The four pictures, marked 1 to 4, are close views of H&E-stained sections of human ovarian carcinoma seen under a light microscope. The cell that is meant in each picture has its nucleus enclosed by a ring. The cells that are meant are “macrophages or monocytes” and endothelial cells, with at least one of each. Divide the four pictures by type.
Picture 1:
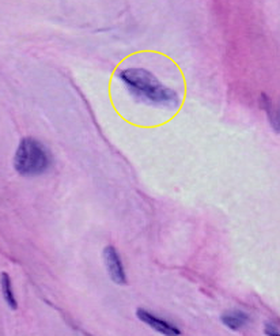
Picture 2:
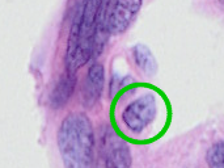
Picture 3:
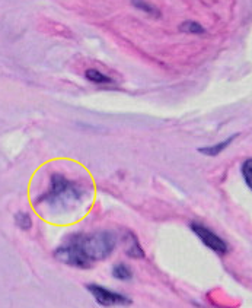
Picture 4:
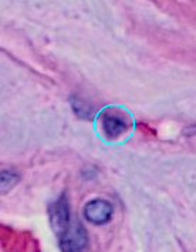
1: endothelial cell
2: macrophage or monocyte
3: endothelial cell
4: endothelial cell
